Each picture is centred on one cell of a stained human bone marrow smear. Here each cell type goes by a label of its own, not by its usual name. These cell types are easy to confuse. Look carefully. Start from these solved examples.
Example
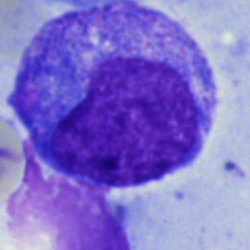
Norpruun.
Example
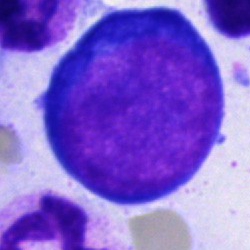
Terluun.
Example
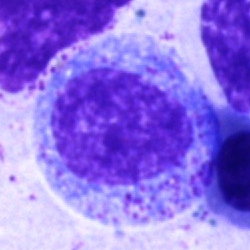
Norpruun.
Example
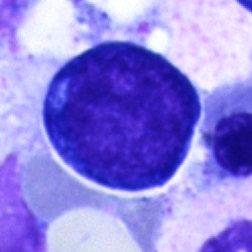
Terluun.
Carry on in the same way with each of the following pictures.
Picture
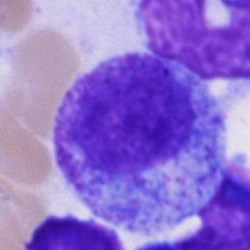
Norpruun.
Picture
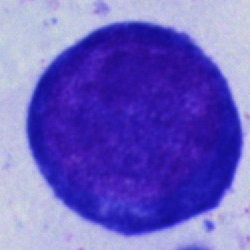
Terluun.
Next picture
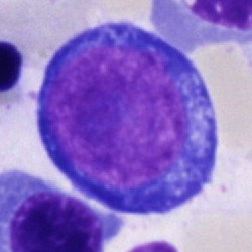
Terluun.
